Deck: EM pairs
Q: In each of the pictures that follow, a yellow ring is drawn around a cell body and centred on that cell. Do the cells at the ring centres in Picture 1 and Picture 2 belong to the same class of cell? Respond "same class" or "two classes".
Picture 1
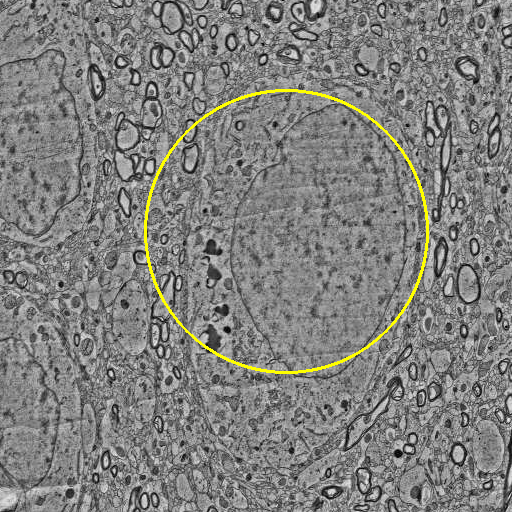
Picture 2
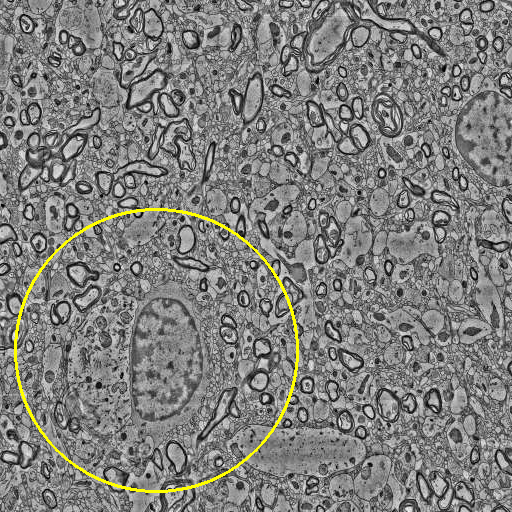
two classes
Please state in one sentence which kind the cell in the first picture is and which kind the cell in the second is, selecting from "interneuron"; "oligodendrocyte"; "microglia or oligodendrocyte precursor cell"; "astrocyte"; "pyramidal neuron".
The first ringed cell is a pyramidal neuron, the second ringed cell an oligodendrocyte.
